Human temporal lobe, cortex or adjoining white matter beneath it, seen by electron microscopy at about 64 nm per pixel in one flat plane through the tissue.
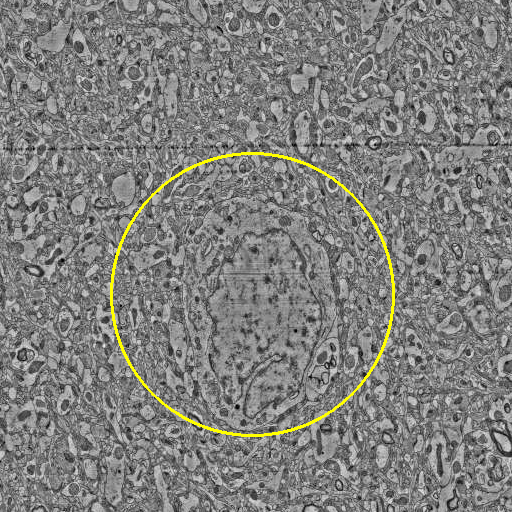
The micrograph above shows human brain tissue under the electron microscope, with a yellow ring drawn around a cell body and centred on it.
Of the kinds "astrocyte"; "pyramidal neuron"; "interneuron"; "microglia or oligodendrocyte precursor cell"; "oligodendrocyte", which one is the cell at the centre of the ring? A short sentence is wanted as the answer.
The one at the centre of the ring is an interneuron.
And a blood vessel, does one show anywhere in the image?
No, there is none.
